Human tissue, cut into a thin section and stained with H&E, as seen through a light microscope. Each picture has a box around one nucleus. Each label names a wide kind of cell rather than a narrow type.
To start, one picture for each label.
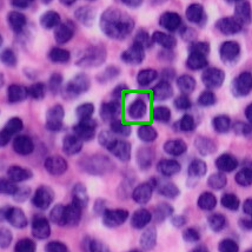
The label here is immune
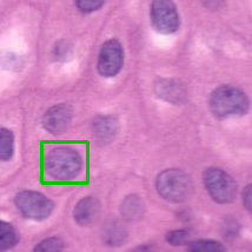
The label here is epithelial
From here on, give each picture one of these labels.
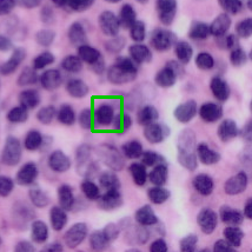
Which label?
immune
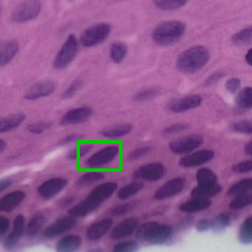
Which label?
epithelial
